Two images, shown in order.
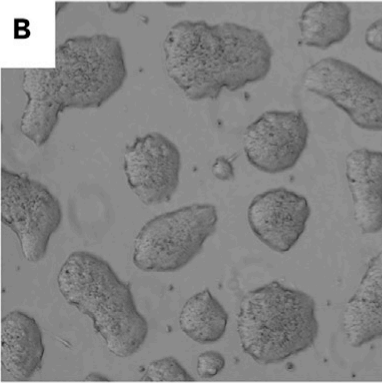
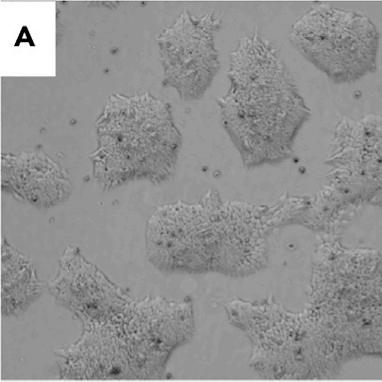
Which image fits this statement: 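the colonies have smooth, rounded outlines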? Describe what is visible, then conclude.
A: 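First image: colonies are compact, with smooth oval or round edges. Second image: colonies are flat and irregular, with spiky protrusions at their margins. That points to this answer: the first image.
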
